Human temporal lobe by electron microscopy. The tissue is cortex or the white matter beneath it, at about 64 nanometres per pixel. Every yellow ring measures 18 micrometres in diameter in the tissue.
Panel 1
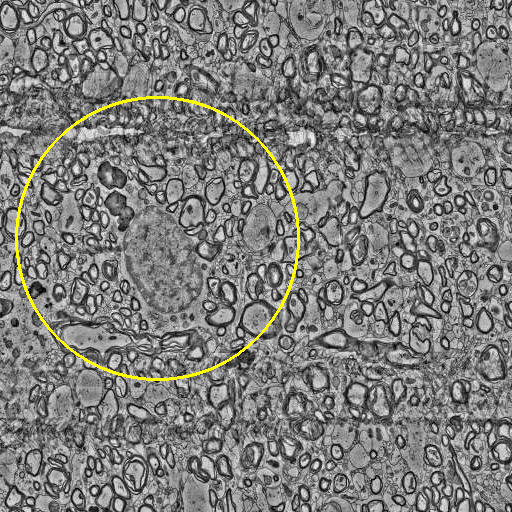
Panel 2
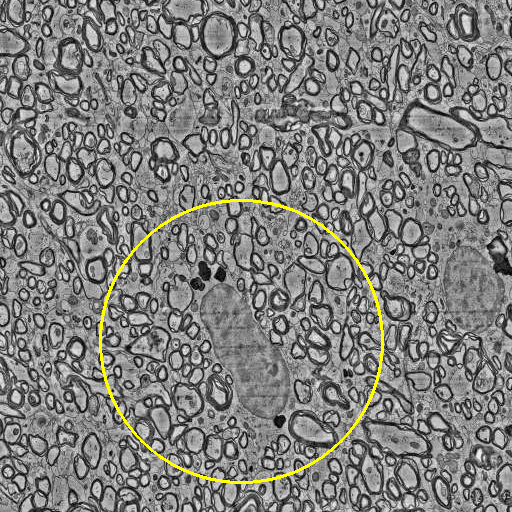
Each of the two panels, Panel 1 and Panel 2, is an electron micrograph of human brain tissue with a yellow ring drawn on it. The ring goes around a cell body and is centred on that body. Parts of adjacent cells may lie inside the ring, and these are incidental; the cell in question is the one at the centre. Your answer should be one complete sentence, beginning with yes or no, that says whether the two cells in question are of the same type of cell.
Yes, the two cells are of the same type.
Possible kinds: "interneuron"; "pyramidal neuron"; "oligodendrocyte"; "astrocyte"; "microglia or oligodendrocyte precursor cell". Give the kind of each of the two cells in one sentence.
Each of the ringed cells, first and second, is an oligodendrocyte.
